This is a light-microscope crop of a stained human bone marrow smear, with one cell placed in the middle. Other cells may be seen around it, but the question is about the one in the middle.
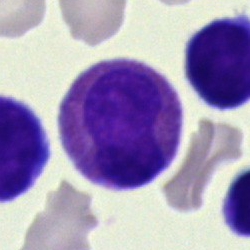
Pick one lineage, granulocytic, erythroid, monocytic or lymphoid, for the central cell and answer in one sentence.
The cell right in the center of the crop is part of the granulocytic line.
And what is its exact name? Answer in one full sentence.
Within this crop, an eosinophil occupies the central position.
